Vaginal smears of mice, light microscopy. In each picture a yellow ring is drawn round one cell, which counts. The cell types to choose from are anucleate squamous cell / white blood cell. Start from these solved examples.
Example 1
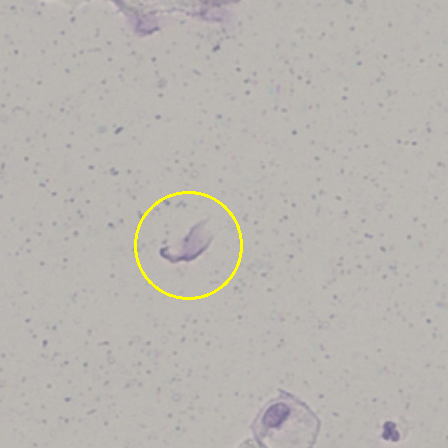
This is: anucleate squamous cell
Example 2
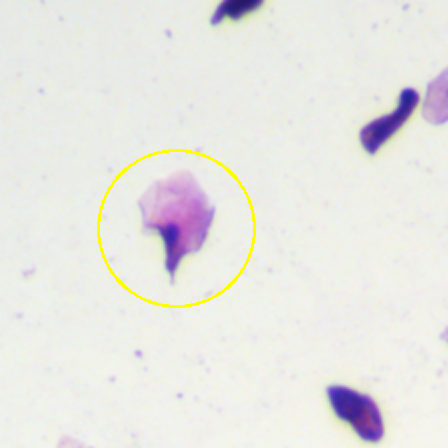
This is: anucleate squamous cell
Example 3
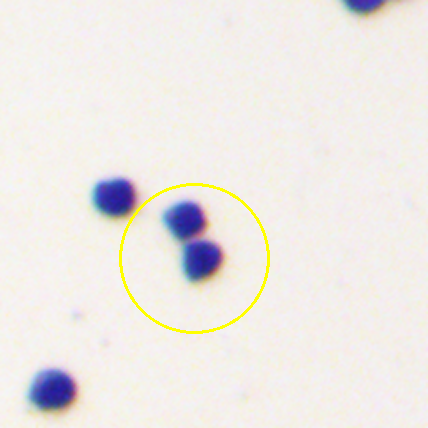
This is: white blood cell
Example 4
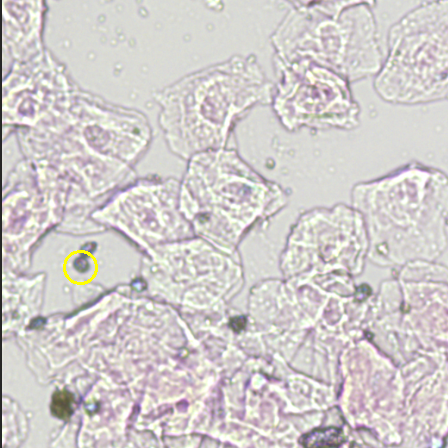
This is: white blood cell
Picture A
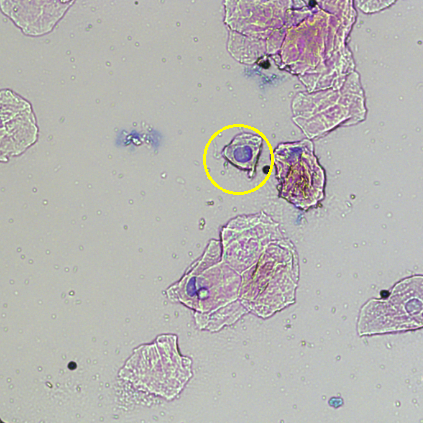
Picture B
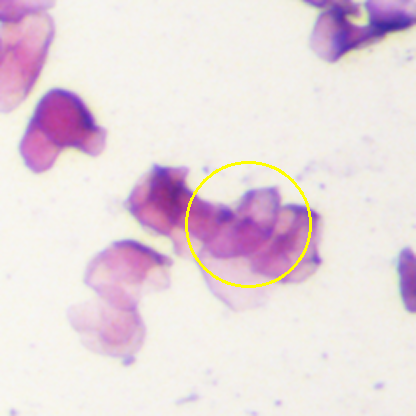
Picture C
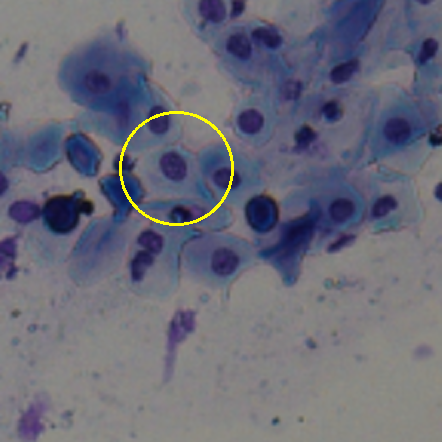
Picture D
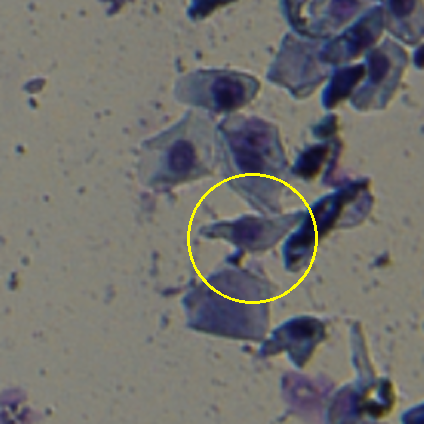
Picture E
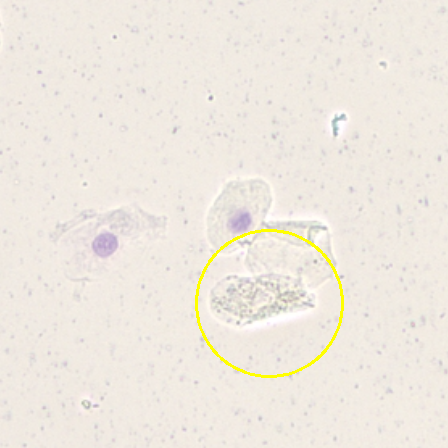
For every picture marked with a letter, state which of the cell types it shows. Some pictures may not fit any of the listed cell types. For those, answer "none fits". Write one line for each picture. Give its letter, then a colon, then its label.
A: none fits
B: anucleate squamous cell
C: none fits
D: none fits
E: anucleate squamous cell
